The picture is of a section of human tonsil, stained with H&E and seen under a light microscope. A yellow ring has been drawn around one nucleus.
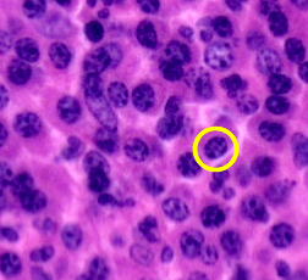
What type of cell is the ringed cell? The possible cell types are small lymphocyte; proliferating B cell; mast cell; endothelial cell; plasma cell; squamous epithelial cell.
plasma cell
